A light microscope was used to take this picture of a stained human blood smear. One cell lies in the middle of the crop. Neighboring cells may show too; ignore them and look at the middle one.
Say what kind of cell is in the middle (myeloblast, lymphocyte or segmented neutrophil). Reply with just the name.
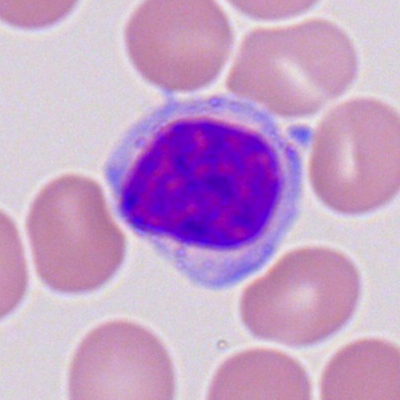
lymphocyte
